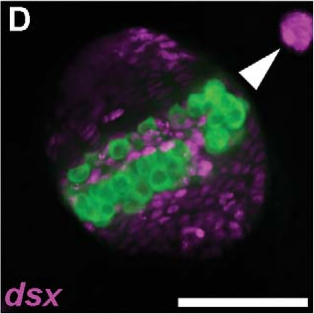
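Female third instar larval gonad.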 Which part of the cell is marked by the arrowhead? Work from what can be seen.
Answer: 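Fat body cell nucleus. A large single round nucleus lies outside the gonad. It is much larger than the nuclei within the gonad.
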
